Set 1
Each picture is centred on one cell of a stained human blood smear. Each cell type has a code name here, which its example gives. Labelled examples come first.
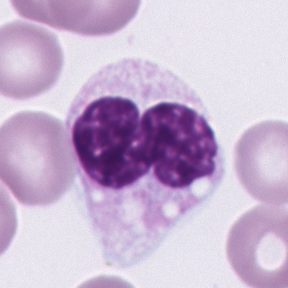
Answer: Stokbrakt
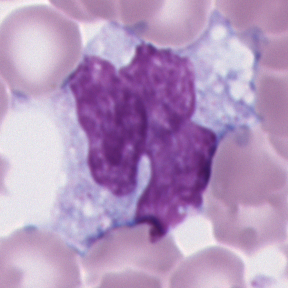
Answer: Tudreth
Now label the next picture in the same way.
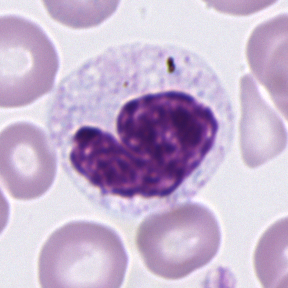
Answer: Stokbrakt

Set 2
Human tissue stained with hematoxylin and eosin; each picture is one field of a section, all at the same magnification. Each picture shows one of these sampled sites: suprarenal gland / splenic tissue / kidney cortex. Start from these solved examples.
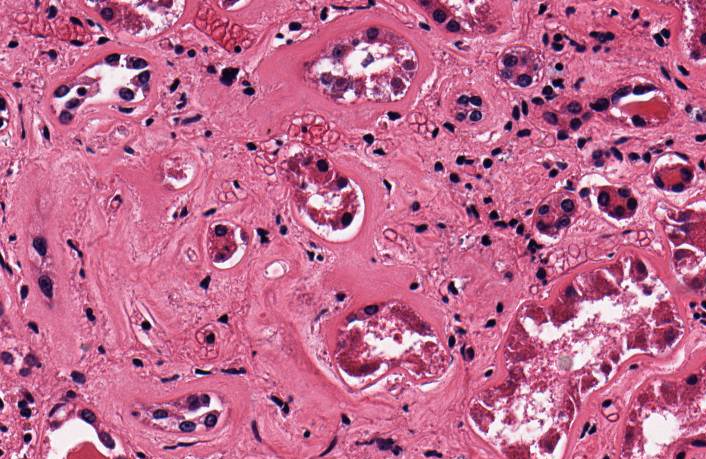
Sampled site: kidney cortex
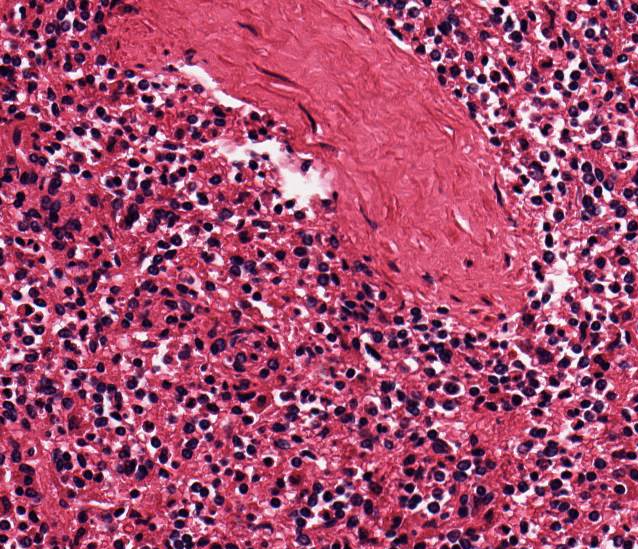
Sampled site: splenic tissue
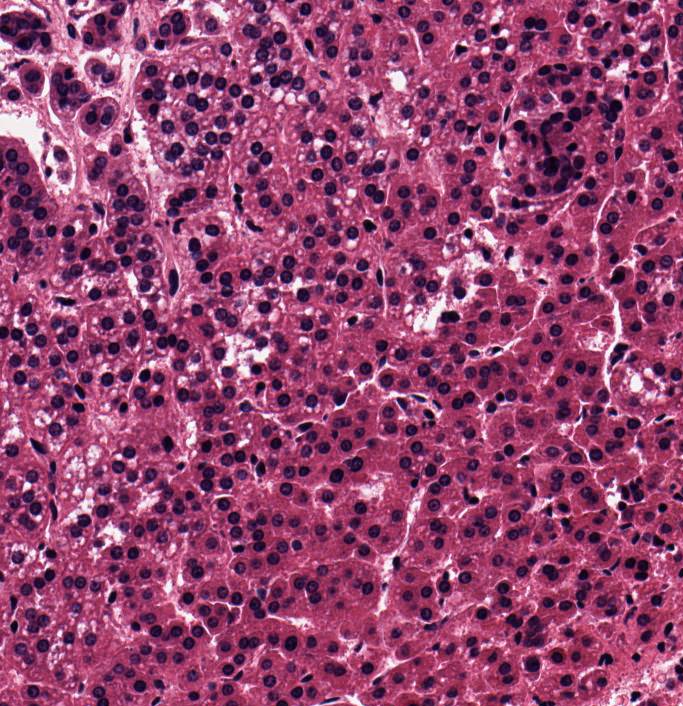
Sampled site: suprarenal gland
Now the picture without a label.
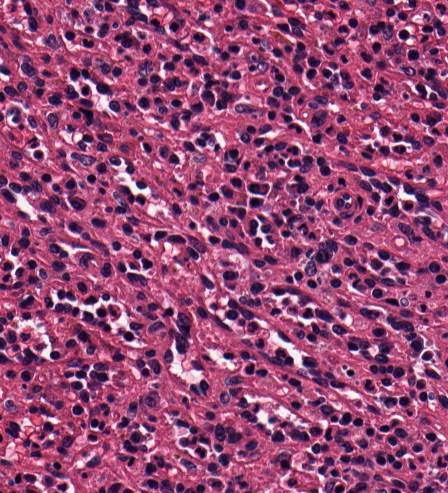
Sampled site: splenic tissue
